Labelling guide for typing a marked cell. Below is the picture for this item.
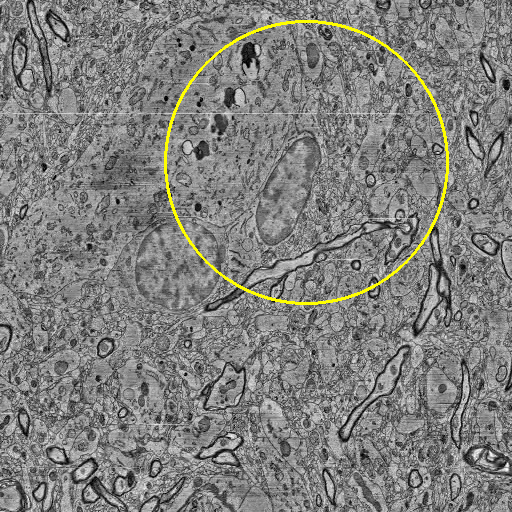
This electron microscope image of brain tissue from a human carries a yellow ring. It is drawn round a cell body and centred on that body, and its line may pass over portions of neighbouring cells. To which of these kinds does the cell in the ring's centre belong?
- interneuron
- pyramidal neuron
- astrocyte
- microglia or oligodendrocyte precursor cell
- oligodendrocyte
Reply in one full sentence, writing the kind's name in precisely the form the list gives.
Here we have a microglial cell or oligodendrocyte precursor cell at the centre of the yellow ring in the picture.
